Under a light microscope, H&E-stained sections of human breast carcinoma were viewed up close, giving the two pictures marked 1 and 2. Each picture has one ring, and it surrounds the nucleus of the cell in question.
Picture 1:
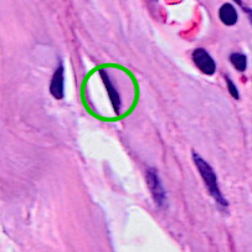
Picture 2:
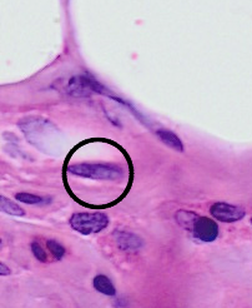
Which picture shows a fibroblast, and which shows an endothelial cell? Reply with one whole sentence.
Picture 1 is of a fibroblast, and picture 2 is of an endothelial cell.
